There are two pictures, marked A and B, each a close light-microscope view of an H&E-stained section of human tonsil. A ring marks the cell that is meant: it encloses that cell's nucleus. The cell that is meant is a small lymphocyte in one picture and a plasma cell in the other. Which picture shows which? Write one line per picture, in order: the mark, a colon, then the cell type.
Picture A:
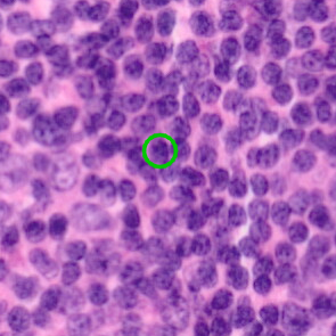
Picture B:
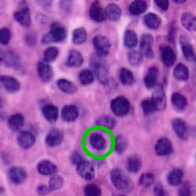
A: small lymphocyte
B: plasma cell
